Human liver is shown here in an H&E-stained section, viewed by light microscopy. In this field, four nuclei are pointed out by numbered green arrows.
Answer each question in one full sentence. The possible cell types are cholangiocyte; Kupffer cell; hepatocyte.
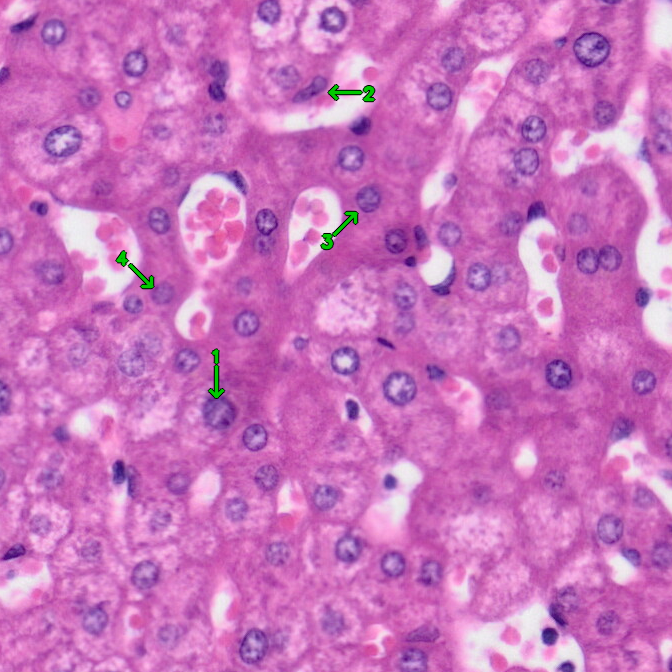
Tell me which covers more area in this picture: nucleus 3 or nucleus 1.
It is nucleus 1, which covers about 1.5 times the area of nucleus 3.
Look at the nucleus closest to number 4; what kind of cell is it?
The nucleus nearest to number 4 is that of a cholangiocyte.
